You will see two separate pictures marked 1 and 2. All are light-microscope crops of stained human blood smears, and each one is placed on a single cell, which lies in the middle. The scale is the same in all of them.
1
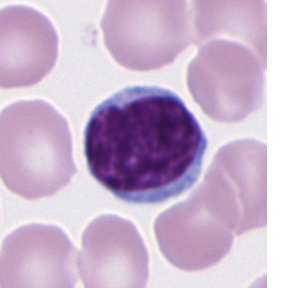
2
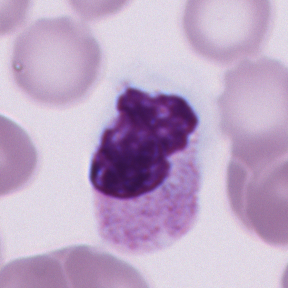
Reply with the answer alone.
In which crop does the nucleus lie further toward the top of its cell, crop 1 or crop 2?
2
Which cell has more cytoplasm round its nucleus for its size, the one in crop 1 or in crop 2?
2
